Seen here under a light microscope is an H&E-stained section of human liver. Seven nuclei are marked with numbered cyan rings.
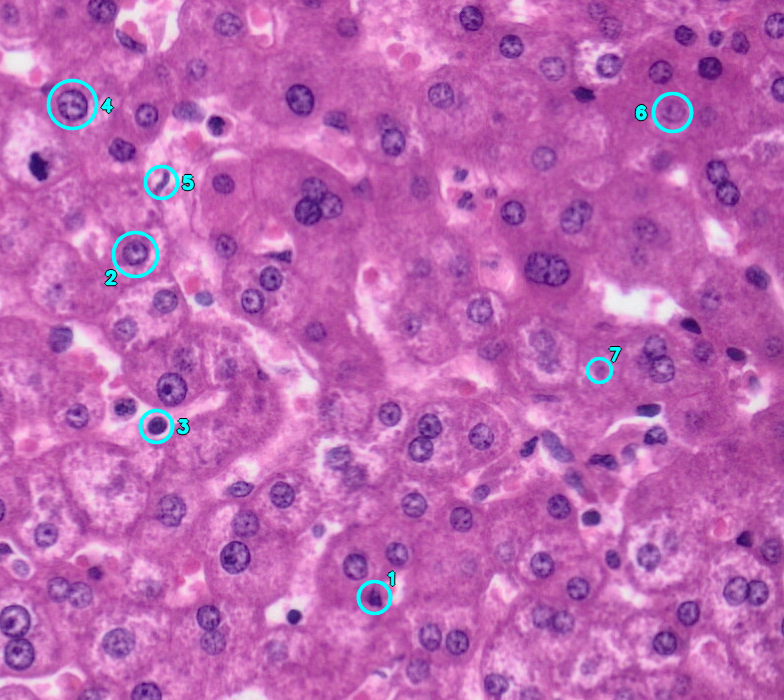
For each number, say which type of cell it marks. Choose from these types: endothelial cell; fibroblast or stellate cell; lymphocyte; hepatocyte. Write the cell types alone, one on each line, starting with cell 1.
fibroblast or stellate cell
hepatocyte
lymphocyte
hepatocyte
endothelial cell
hepatocyte
hepatocyte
